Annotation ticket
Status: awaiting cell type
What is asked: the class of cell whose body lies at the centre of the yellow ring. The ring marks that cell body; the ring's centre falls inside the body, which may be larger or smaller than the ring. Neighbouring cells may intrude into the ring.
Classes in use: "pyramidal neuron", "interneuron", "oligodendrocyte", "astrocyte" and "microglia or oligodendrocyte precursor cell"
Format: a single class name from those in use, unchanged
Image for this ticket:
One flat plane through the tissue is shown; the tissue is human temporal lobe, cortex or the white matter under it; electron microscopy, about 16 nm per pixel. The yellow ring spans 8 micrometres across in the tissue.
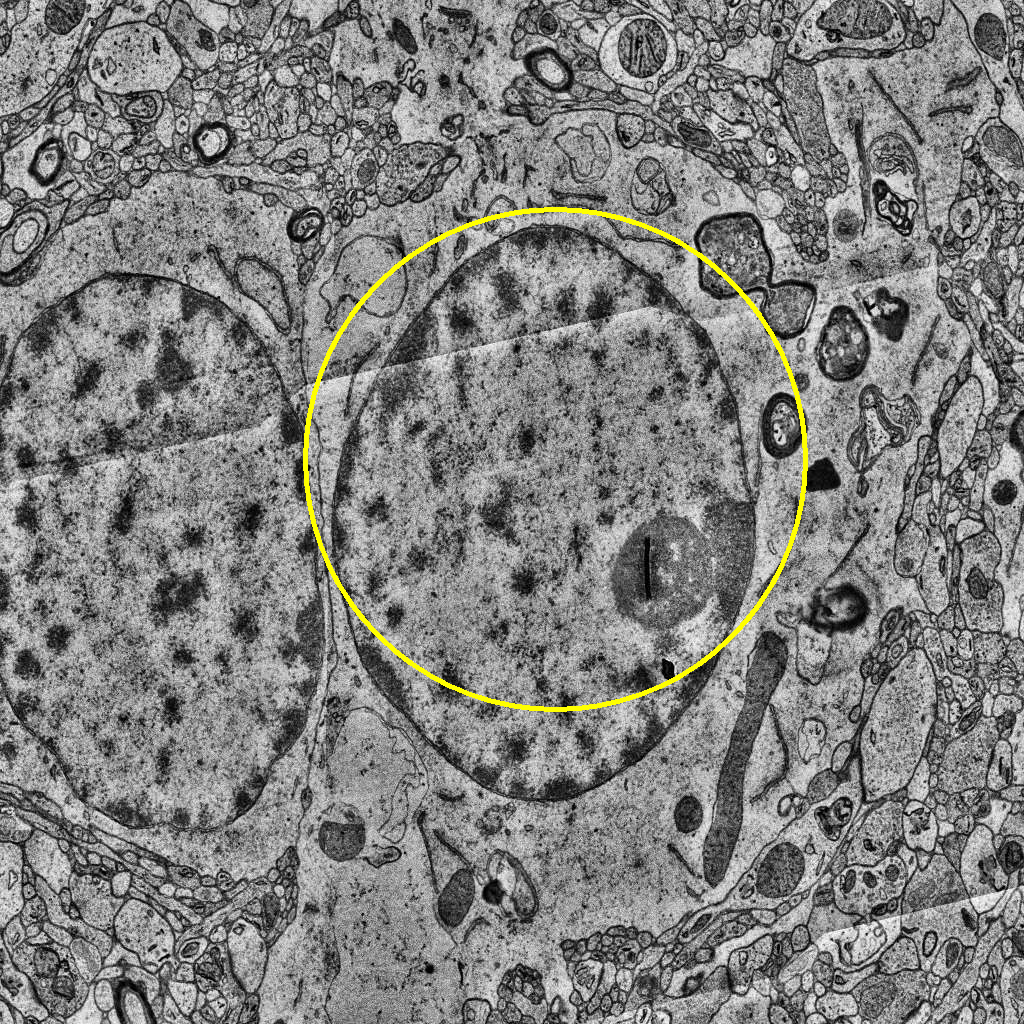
astrocyte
